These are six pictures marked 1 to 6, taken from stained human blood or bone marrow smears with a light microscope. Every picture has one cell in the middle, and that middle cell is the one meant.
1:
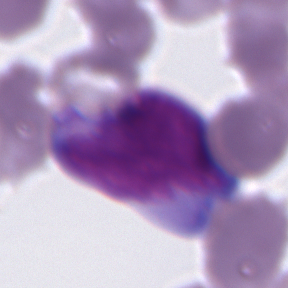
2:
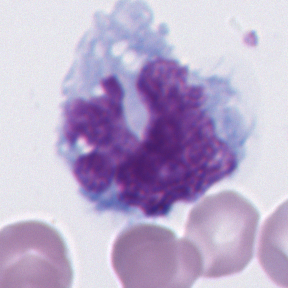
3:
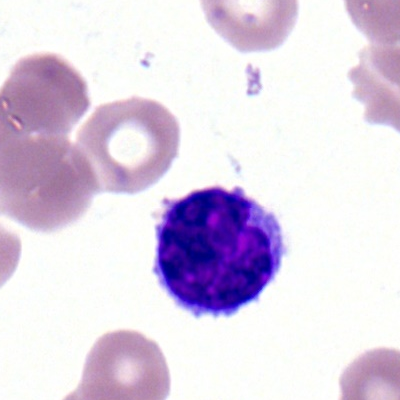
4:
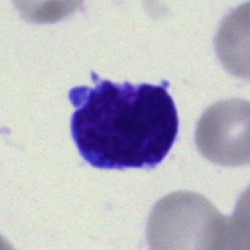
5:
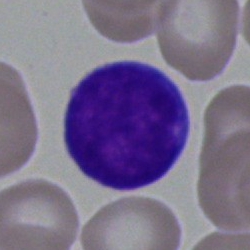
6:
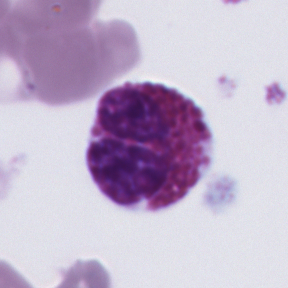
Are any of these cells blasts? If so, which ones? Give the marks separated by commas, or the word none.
1, 4, 5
